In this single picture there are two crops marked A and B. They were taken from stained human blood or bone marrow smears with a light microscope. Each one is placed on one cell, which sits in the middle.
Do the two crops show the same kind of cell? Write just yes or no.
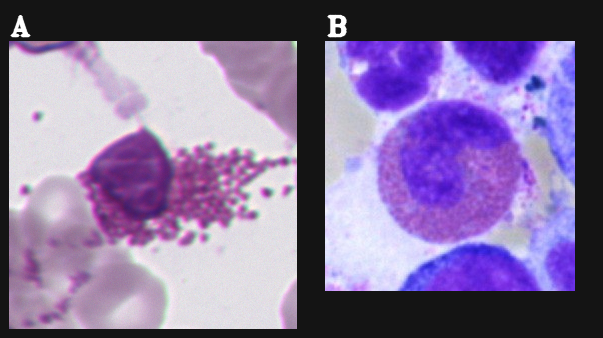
yes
